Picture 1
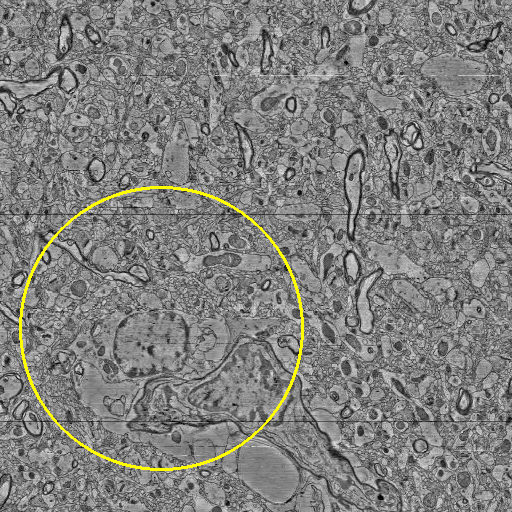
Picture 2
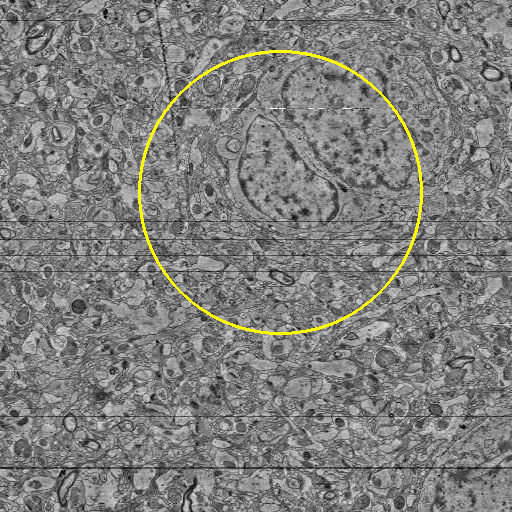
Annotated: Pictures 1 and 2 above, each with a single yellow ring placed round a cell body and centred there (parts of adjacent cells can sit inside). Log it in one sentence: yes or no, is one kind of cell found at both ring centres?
Yes, the ring centres of the two pictures hold cells of one kind.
